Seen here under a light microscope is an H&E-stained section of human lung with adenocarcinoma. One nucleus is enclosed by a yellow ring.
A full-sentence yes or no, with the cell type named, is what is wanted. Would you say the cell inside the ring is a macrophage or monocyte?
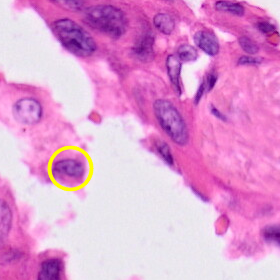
Yes, the cell inside the ring corresponds to a macrophage or monocyte in this tissue.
